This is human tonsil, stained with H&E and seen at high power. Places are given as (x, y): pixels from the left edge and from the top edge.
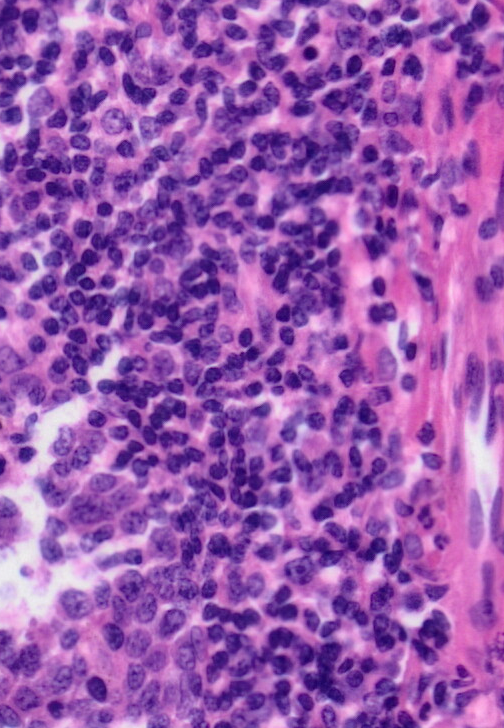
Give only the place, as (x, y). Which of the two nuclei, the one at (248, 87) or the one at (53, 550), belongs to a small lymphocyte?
(248, 87)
